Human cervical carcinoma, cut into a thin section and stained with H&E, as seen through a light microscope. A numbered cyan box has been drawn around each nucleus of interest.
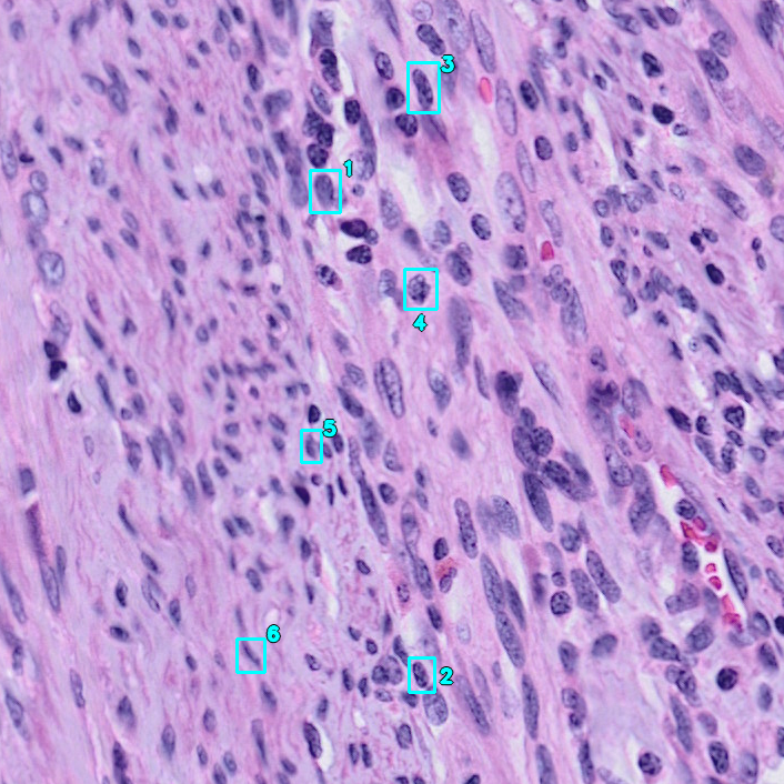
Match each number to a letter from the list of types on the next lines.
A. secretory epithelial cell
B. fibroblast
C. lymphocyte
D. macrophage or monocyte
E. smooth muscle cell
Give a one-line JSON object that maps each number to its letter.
{"1": "C", "2": "C", "3": "C", "4": "C", "5": "B", "6": "E"}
